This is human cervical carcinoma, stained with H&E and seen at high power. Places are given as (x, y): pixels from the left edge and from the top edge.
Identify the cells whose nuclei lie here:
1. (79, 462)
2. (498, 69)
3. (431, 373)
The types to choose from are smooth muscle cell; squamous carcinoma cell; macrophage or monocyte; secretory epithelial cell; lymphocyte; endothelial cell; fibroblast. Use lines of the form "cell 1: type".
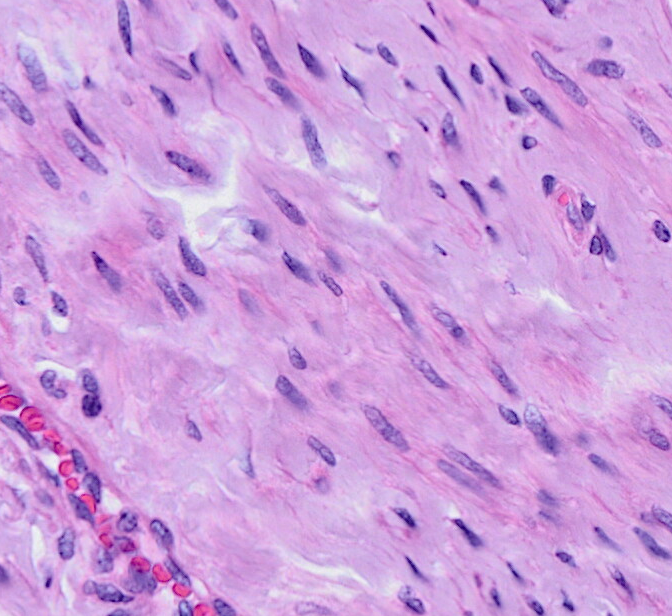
cell 1: endothelial cell
cell 2: fibroblast
cell 3: smooth muscle cell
